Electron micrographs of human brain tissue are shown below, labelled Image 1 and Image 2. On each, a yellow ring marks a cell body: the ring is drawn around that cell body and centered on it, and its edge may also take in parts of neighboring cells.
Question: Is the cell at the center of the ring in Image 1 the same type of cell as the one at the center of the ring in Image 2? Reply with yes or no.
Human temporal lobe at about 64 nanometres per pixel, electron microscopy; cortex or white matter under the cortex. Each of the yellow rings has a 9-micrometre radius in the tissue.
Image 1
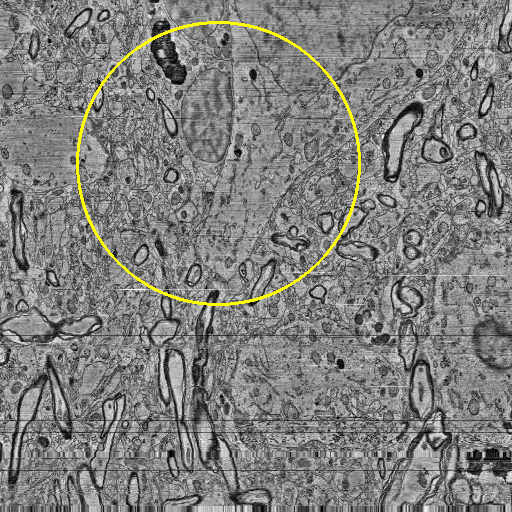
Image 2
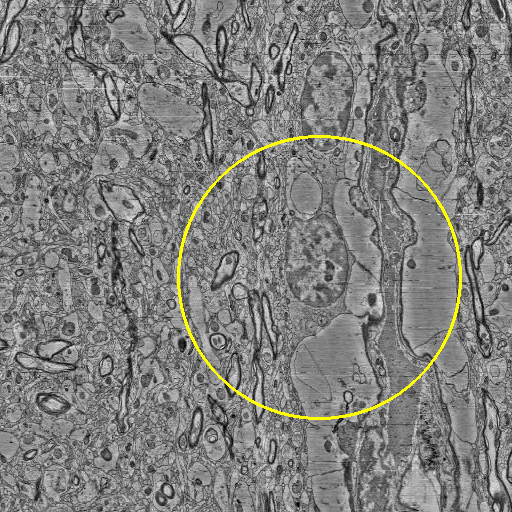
yes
